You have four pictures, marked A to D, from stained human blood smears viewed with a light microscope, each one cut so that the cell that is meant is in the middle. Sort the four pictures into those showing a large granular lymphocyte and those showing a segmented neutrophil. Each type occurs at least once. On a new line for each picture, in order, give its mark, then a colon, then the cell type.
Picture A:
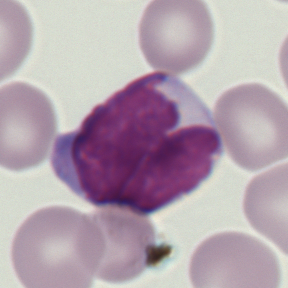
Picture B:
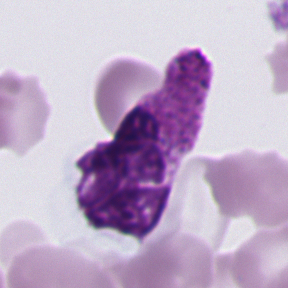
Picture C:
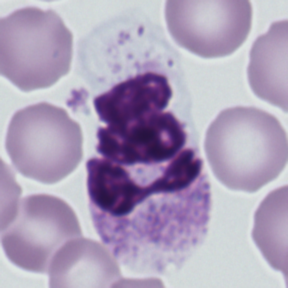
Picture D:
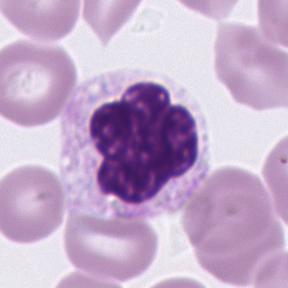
A: large granular lymphocyte
B: segmented neutrophil
C: segmented neutrophil
D: segmented neutrophil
